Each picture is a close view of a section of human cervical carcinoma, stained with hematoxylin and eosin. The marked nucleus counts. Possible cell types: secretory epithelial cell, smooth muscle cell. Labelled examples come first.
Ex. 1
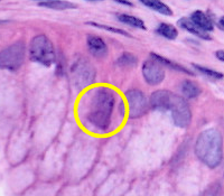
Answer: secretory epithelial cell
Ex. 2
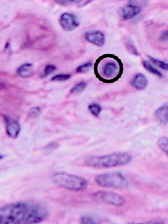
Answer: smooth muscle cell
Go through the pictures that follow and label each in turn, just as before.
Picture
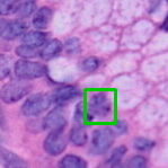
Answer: secretory epithelial cell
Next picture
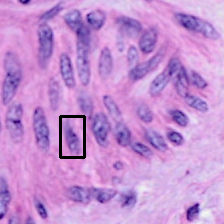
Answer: smooth muscle cell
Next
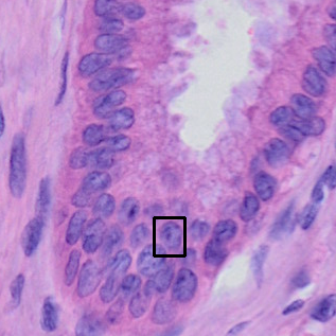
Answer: secretory epithelial cell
